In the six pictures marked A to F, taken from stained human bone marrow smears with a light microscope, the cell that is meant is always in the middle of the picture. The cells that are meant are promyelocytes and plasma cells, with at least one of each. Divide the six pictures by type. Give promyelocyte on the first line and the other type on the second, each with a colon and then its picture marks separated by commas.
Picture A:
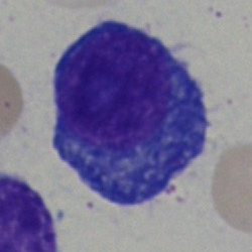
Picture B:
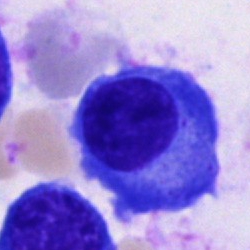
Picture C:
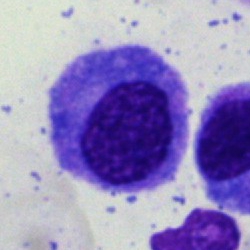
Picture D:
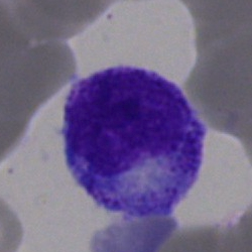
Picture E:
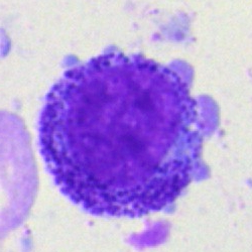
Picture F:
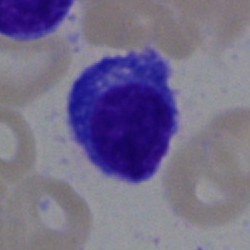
promyelocyte: D, E
plasma cell: A, B, C, F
